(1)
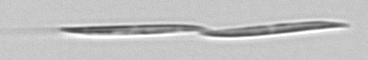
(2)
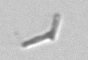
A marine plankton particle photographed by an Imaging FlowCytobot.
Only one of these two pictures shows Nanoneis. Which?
Picture 2.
